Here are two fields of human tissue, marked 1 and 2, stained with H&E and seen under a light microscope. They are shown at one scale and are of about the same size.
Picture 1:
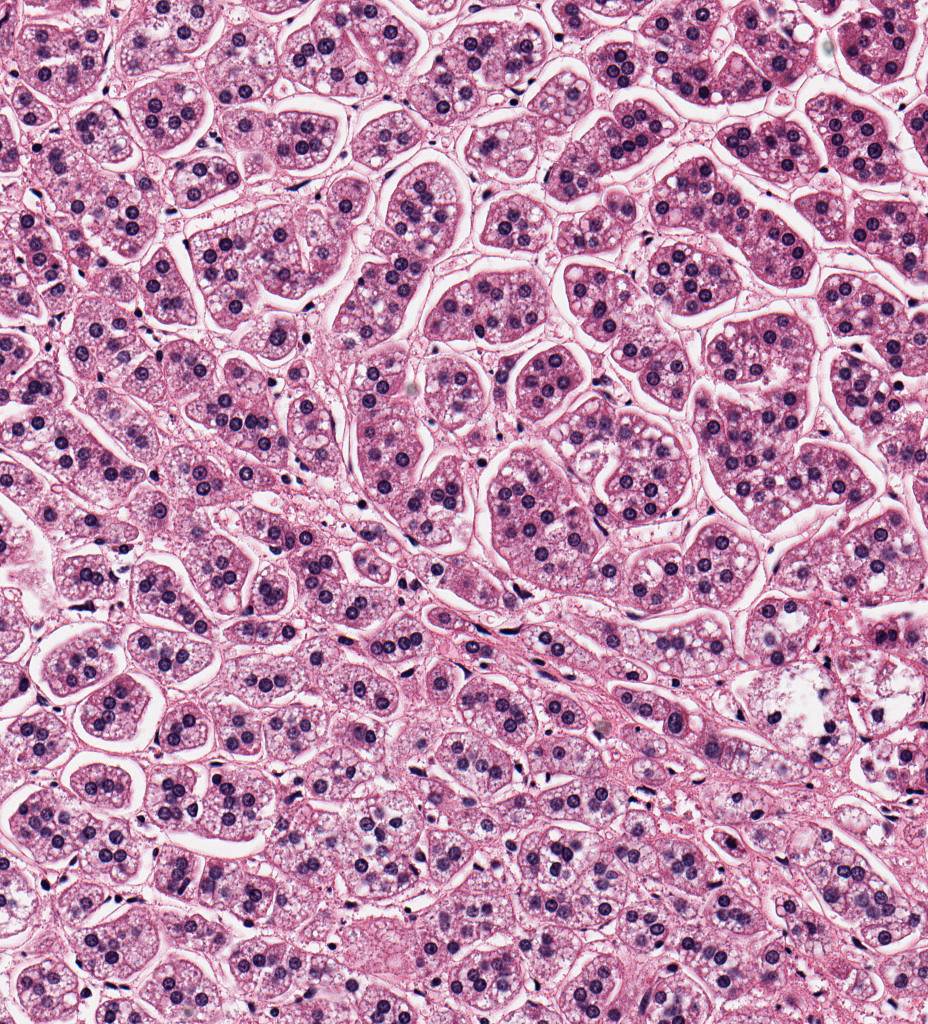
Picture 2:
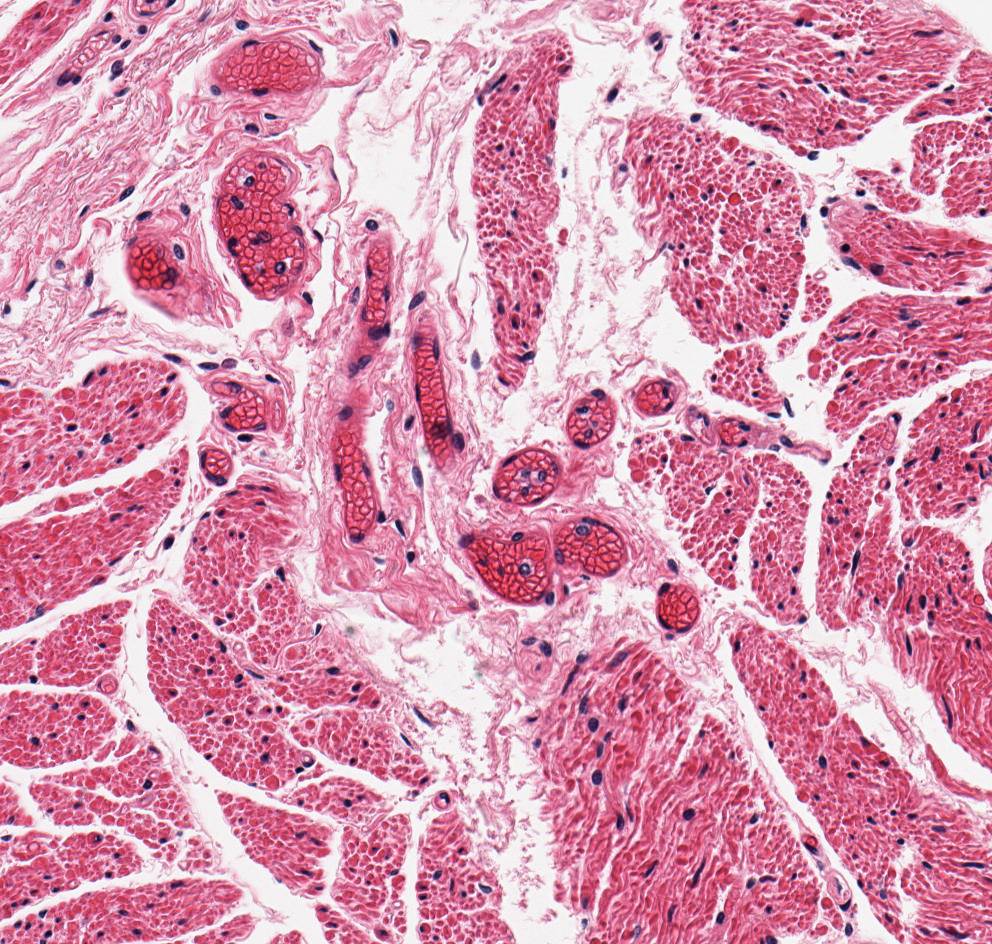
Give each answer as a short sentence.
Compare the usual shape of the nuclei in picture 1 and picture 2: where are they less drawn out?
Rounder nuclei lie in picture 1.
